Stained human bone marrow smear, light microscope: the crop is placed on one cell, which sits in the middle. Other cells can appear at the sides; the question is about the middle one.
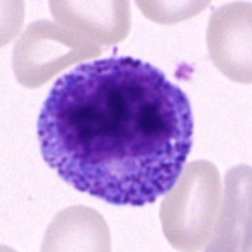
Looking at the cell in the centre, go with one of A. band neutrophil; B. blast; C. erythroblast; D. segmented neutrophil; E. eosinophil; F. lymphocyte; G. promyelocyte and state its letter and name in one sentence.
Option G is correct in naming the middle cell a promyelocyte.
